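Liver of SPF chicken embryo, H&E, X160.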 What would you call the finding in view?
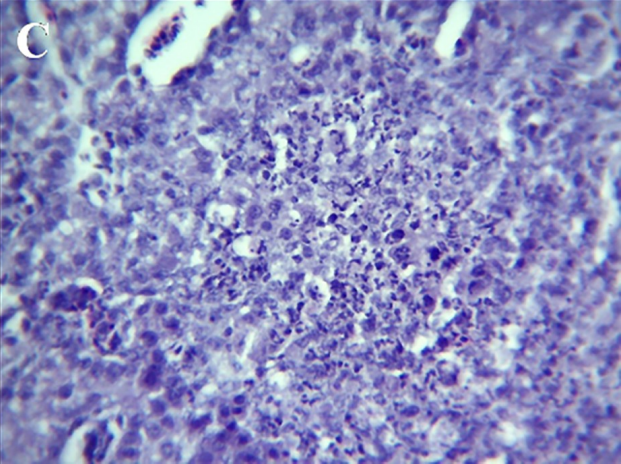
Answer: foci of hepatocytes necrosis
